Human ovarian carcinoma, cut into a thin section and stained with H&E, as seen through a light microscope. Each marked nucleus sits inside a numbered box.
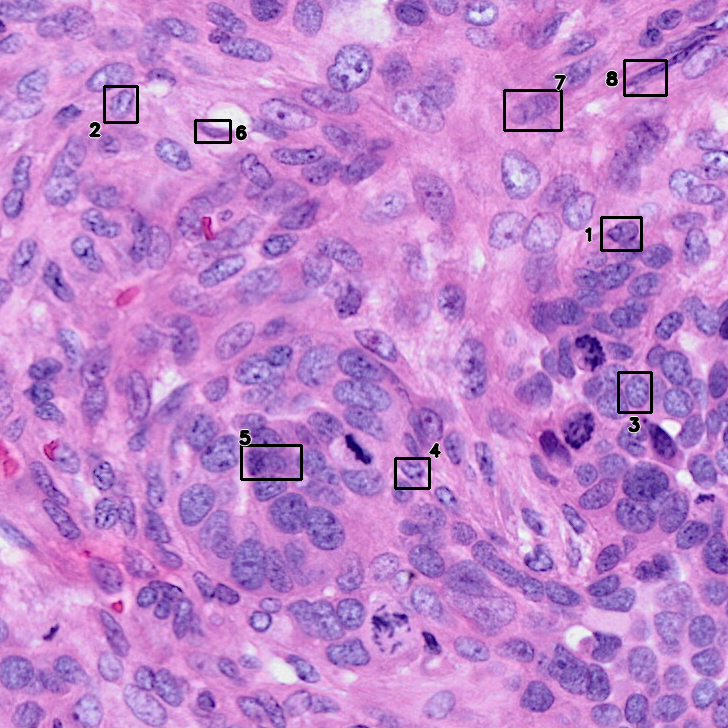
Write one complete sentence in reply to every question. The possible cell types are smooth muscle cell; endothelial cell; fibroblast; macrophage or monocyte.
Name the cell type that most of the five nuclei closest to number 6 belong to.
Most of the five nuclei nearest to number 6 are those of endothelial cells.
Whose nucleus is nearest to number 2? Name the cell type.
It is a fibroblast whose nucleus is nearest to number 2.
